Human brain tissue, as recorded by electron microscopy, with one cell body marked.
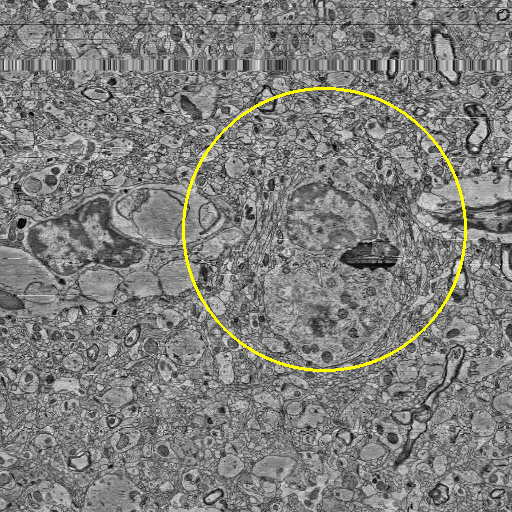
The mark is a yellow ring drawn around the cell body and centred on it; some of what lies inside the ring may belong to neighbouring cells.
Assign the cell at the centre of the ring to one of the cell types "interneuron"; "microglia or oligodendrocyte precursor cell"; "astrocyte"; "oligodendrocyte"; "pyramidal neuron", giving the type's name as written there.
oligodendrocyte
